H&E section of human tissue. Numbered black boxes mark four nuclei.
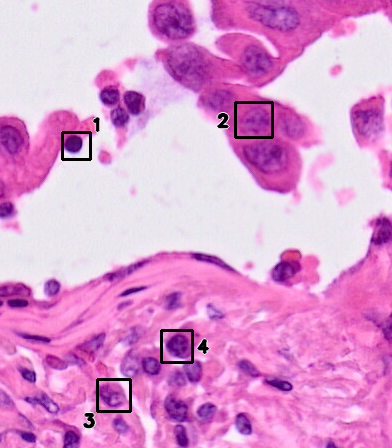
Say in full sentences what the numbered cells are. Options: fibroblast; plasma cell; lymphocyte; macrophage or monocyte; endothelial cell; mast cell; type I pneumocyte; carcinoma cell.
Cell 1 is a lymphocyte, cell 2 is a carcinoma cell, cell 3 is a plasma cell and cell 4 is a plasma cell.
